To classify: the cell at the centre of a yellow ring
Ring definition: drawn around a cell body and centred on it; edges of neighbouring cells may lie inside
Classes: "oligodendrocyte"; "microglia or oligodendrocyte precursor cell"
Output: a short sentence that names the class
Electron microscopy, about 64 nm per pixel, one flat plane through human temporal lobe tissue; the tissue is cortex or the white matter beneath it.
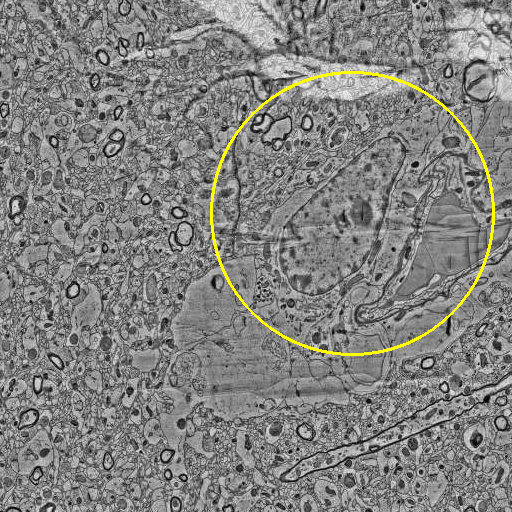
The ringed cell is a microglial cell or oligodendrocyte precursor cell.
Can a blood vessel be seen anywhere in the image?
Yes, a blood vessel is present in this picture.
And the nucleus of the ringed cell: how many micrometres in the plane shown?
About 10 by 6 micrometres in this plane; clearly longer than it is wide.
